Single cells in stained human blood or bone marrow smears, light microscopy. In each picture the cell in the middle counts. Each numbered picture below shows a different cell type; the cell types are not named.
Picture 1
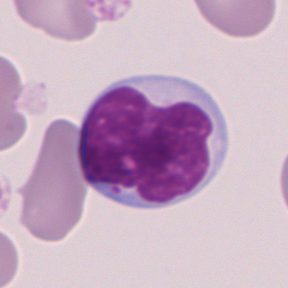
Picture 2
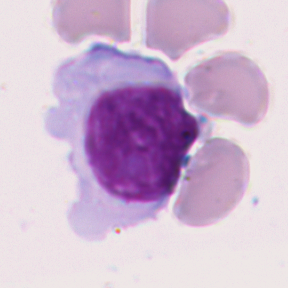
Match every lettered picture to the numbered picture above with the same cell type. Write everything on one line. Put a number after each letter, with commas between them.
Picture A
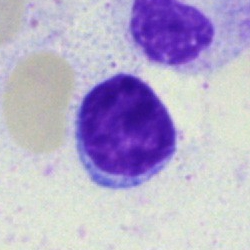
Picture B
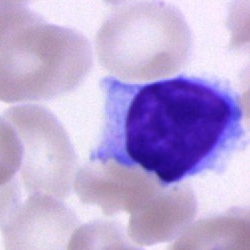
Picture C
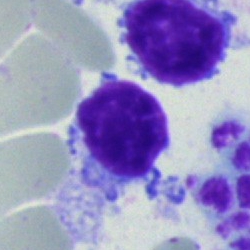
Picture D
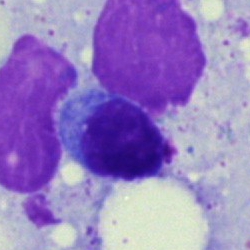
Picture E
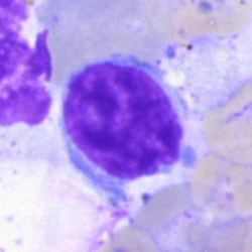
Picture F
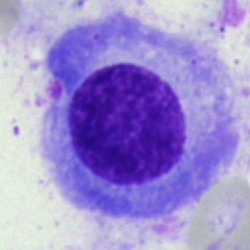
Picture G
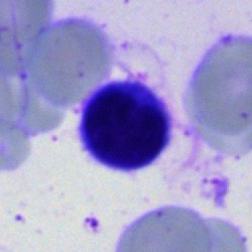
A 1, B 1, C 1, D 1, E 1, F 2, G 1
